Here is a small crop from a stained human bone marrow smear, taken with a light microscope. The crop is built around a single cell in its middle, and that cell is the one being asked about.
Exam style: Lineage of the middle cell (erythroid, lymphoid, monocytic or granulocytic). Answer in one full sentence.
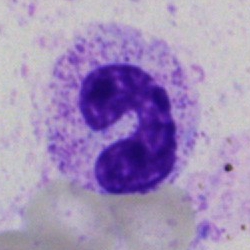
Lineage designation for the cell in the middle reads granulocytic.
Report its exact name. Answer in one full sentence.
At the middle of the frame sits a band neutrophil.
